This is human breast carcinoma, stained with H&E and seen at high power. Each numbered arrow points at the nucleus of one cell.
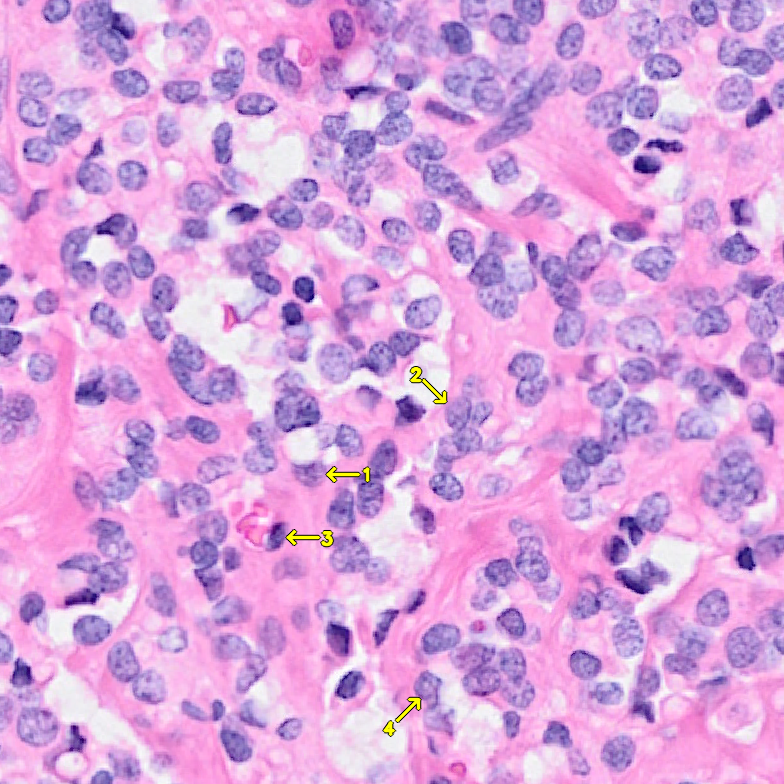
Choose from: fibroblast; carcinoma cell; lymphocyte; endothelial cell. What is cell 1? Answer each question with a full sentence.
The cell referenced by the number 1 is a carcinoma cell in this field.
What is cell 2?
Here, the cell given the number 2 is a carcinoma cell.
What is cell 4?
That cell with number 4 is a carcinoma cell.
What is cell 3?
Cell 3 in the field is an endothelial cell.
